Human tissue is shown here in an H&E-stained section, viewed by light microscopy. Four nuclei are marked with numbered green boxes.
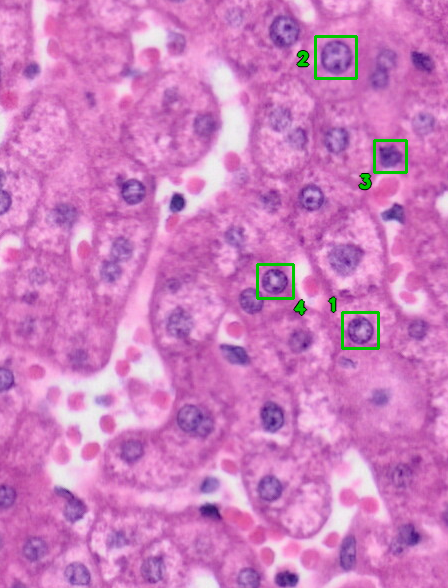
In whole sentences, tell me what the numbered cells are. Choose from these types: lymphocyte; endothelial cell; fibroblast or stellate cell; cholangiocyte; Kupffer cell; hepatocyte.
Cells 1, 2 and 4 are hepatocytes. Cell 3 is a fibroblast or stellate cell.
